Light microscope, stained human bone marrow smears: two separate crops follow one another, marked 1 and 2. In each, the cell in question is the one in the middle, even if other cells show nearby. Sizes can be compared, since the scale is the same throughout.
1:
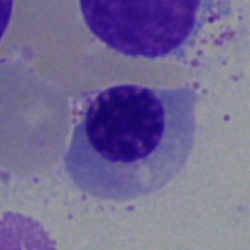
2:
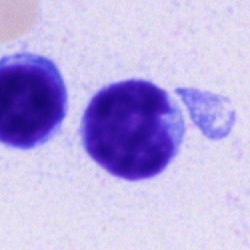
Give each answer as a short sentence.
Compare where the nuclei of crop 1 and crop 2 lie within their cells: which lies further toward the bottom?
The nucleus in crop 2 lies further toward the bottom of its cell.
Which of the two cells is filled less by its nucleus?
It is the cell in crop 1 that is filled less by its nucleus.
